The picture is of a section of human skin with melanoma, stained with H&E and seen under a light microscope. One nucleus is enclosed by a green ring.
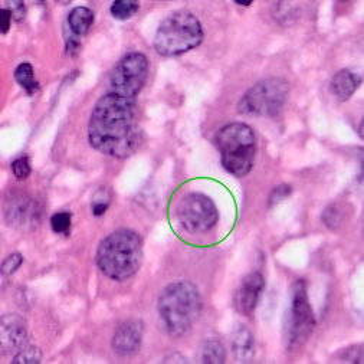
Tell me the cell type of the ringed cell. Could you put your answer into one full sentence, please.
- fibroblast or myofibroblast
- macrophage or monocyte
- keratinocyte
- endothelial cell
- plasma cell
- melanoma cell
The classification of the ringed cell is as a melanoma cell.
